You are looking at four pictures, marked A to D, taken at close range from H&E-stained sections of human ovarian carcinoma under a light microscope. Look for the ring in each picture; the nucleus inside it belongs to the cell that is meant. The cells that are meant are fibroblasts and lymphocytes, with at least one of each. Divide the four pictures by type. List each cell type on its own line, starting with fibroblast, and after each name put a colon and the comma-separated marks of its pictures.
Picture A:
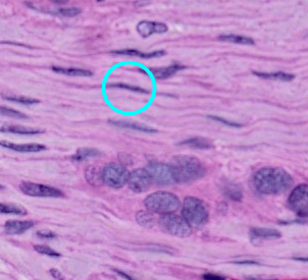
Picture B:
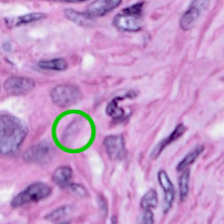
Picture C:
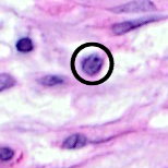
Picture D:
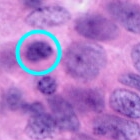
fibroblast: A, B
lymphocyte: C, D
